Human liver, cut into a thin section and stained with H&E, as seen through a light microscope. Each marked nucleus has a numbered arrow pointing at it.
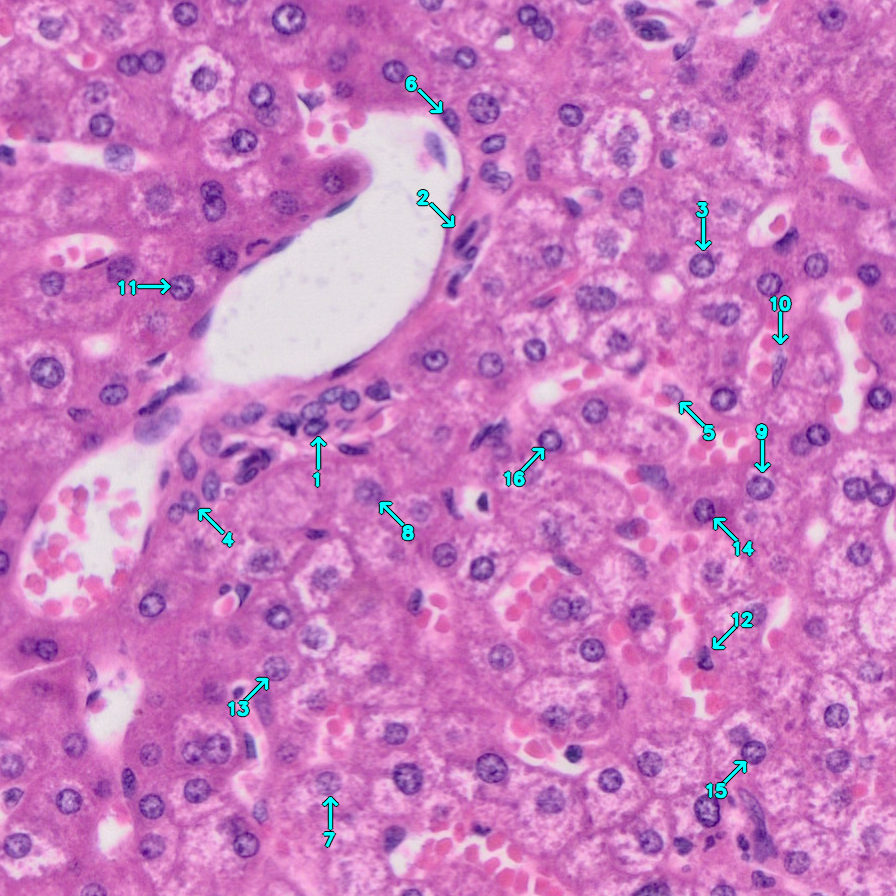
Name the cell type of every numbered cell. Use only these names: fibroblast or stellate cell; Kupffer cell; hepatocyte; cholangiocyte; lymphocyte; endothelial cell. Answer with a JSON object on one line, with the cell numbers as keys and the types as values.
{"1": "cholangiocyte", "2": "fibroblast or stellate cell", "3": "hepatocyte", "4": "cholangiocyte", "5": "Kupffer cell", "6": "fibroblast or stellate cell", "7": "hepatocyte", "8": "hepatocyte", "9": "hepatocyte", "10": "endothelial cell", "11": "hepatocyte", "12": "endothelial cell", "13": "hepatocyte", "14": "hepatocyte", "15": "hepatocyte", "16": "hepatocyte"}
